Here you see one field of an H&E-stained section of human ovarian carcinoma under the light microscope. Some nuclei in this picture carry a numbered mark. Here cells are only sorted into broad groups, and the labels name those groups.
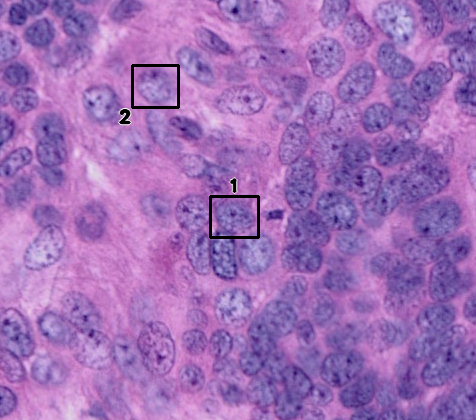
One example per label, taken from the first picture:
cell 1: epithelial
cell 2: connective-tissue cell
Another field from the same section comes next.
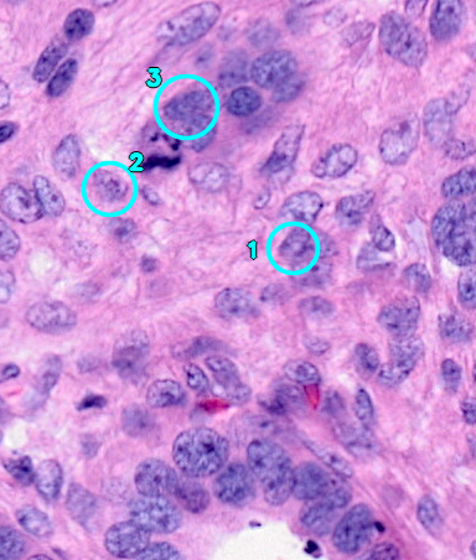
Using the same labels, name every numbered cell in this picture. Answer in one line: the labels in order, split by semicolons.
connective-tissue cell; connective-tissue cell; epithelial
